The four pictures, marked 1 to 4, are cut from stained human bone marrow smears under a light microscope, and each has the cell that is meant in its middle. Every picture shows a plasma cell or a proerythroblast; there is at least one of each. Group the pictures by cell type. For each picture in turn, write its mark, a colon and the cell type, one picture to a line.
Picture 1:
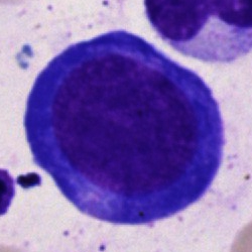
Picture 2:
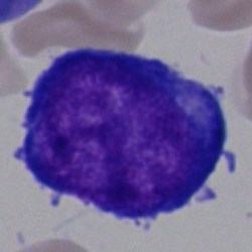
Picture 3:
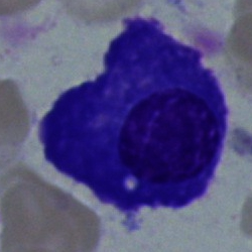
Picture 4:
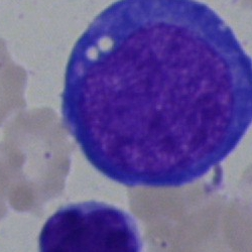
1: proerythroblast
2: proerythroblast
3: plasma cell
4: proerythroblast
